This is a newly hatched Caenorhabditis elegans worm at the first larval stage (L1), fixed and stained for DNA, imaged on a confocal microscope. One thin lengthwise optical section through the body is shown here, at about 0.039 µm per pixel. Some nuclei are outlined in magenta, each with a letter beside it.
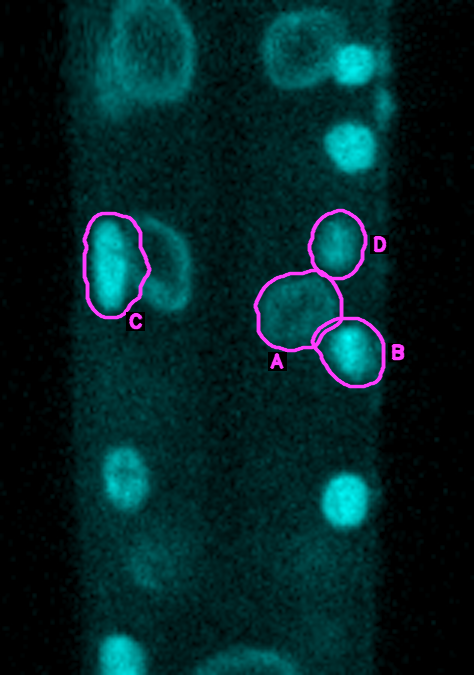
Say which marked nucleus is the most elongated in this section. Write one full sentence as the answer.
C is the most elongated.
